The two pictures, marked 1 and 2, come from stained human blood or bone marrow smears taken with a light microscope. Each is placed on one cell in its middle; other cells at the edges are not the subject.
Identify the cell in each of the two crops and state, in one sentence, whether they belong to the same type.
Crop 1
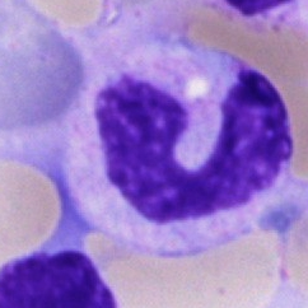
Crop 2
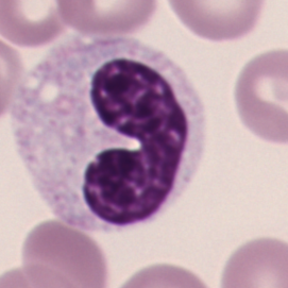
Yes, it is band neutrophils that both crops show.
